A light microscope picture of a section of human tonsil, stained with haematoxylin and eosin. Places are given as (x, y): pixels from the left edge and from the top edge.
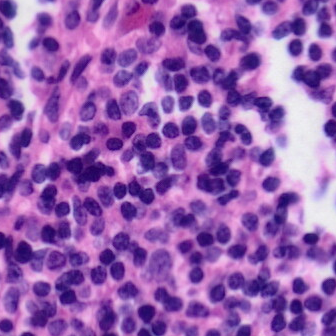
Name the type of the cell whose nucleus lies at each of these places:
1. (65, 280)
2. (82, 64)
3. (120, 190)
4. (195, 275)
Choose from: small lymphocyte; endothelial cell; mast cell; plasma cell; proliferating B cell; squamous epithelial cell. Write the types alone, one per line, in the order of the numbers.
small lymphocyte
endothelial cell
small lymphocyte
small lymphocyte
